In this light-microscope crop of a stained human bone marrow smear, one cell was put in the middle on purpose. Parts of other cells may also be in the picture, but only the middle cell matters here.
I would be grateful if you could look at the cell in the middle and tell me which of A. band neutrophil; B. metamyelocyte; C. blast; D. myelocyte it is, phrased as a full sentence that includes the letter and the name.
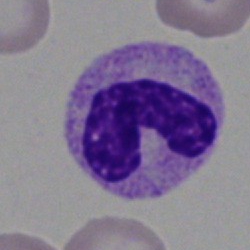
Option A holds, for the cell in the middle is a band neutrophil.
